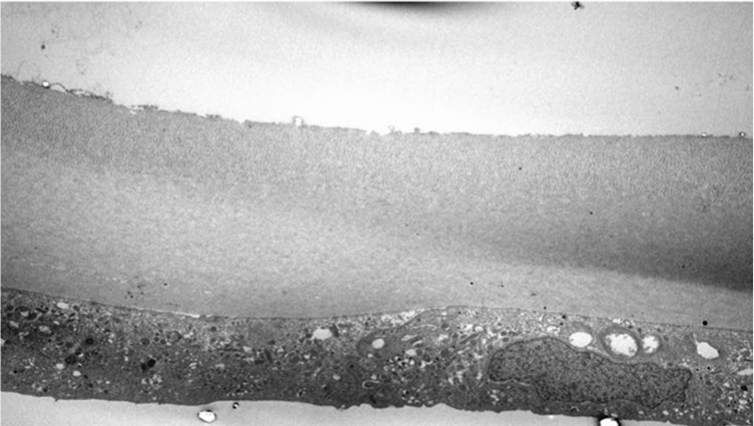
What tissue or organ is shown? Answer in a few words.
Corneal endothelial layer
